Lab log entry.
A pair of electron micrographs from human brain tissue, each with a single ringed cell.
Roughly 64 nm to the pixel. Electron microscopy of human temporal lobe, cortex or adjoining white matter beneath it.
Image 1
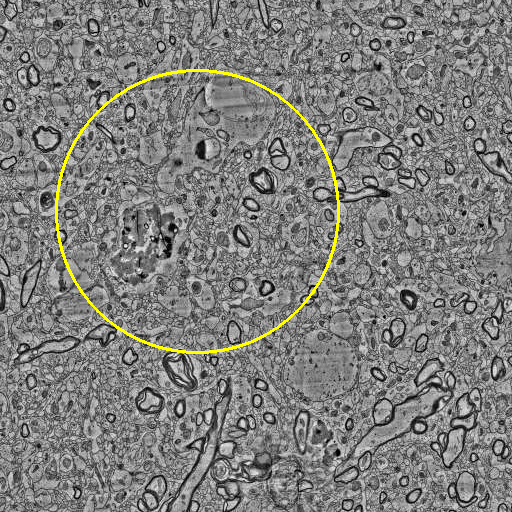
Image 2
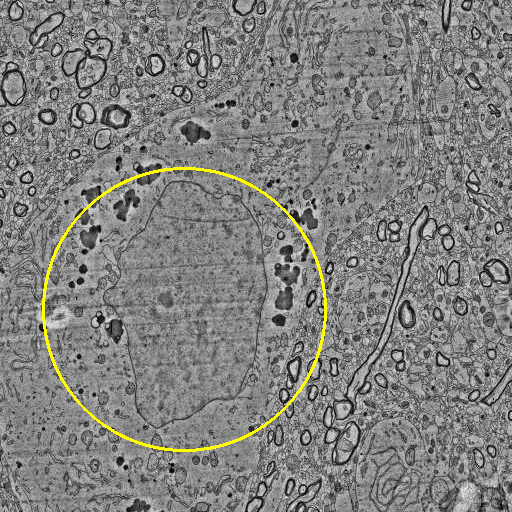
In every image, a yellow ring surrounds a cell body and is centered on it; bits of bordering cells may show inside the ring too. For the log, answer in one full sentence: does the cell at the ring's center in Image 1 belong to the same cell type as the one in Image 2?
No, the cells at the ring centers in Image 1 and Image 2 are of separate types.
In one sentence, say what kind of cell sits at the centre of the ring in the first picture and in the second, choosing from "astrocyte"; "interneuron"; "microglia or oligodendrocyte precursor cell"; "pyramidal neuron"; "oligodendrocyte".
The first picture's ringed cell is an oligodendrocyte, while the second picture's is a pyramidal neuron.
